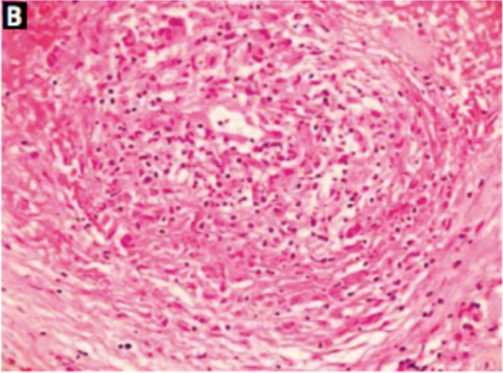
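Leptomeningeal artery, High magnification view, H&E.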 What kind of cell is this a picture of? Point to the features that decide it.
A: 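Lymphocytes, epithelioid histiocytes, and giant cells. Many small round dark nuclei are scattered in the vessel wall. Elongated cells with pale oval nuclei and pink cytoplasm are arranged around a small lumen.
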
